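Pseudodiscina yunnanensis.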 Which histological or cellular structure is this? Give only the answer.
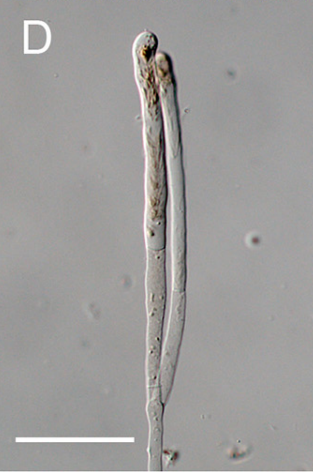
Paraphyses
